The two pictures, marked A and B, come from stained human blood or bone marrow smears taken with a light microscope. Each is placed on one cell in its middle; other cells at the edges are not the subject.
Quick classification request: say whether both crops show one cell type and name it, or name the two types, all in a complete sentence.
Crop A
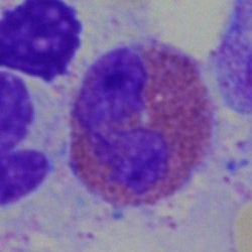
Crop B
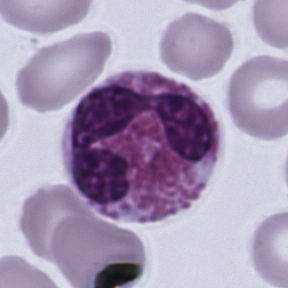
Yes, eosinophils are the cells in the middle of both crops.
